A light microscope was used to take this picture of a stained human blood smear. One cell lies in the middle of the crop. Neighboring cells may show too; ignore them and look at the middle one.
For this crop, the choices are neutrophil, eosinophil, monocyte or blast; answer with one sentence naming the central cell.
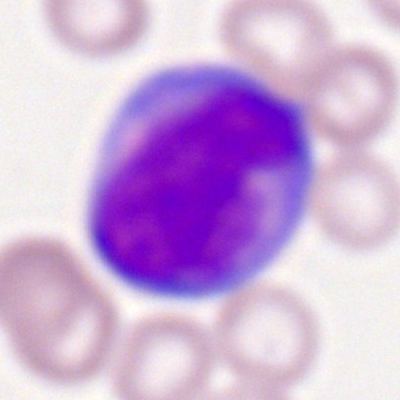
The cell in the middle of this crop is a blast.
